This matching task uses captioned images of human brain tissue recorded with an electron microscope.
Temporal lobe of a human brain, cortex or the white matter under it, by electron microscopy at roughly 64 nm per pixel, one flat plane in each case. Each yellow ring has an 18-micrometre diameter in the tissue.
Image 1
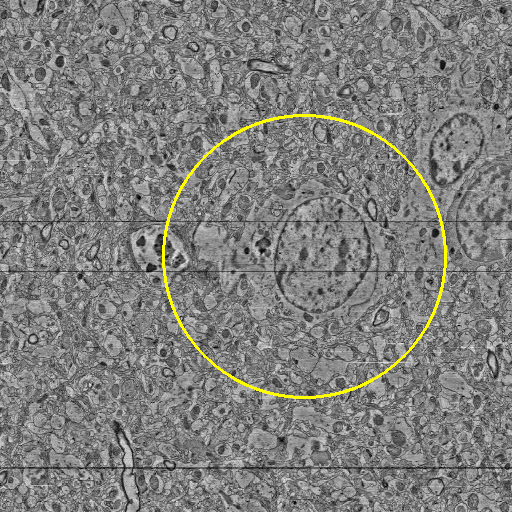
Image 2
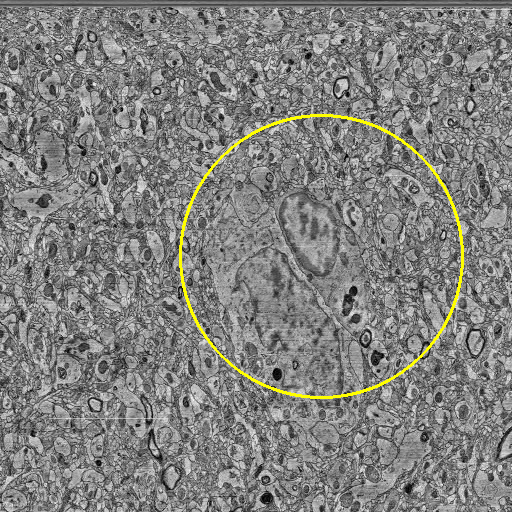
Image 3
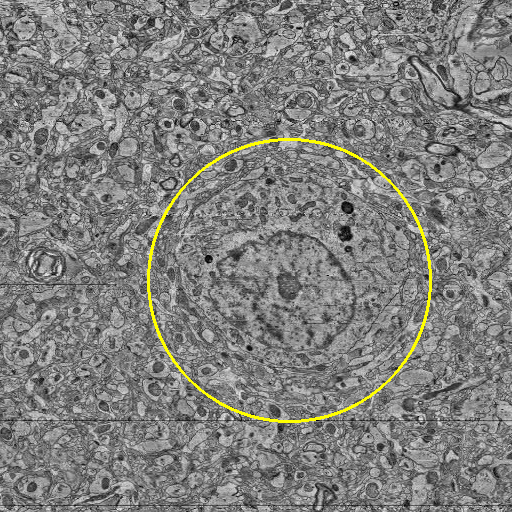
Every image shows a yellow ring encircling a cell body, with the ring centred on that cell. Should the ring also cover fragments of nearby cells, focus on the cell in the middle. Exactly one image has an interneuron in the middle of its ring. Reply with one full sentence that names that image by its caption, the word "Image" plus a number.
Image 3 shows the cell in question at the centre of its yellow ring.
